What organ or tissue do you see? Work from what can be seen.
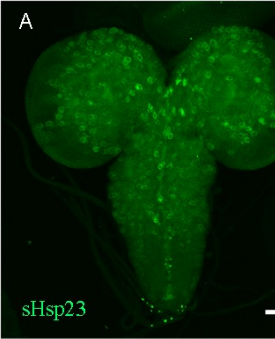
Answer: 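Larval brain. Two rounded lobes joined at the midline. A tapering cord extends downward from between the lobes. Many labeled cell bodies scattered over the lobes.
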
